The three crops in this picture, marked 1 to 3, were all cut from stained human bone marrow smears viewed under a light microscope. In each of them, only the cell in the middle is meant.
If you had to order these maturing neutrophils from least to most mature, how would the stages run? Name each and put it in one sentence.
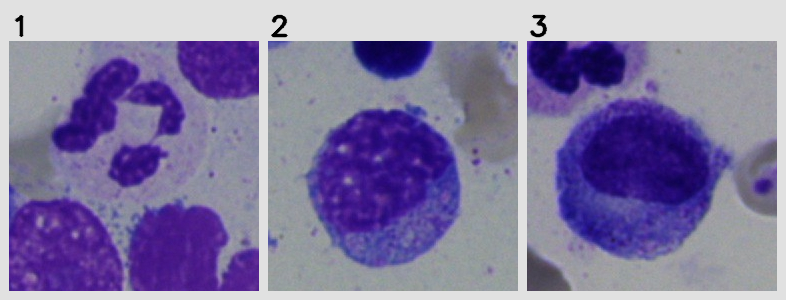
In ascending order of maturity, the cells are crop 3 (a promyelocyte), crop 2 (a myelocyte) and crop 1 (a segmented neutrophil).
